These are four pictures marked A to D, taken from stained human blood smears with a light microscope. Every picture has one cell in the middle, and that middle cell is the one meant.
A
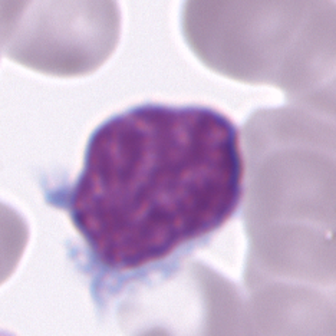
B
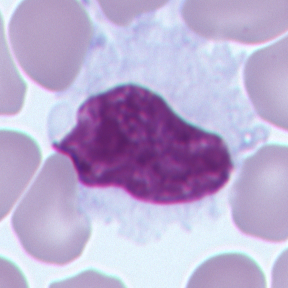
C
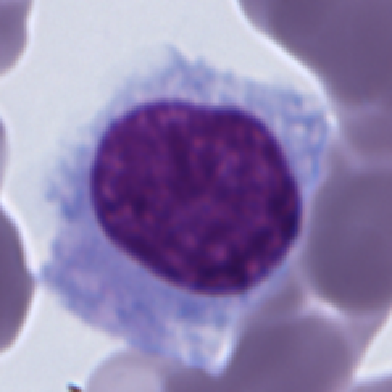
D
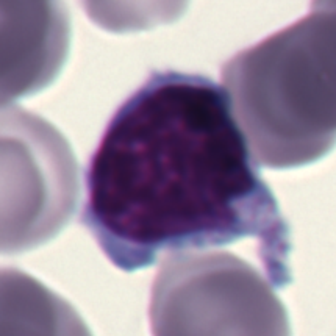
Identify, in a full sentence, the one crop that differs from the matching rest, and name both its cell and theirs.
Unlike the other crops, which all show hairy cells, crop D is a typical lymphocyte.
